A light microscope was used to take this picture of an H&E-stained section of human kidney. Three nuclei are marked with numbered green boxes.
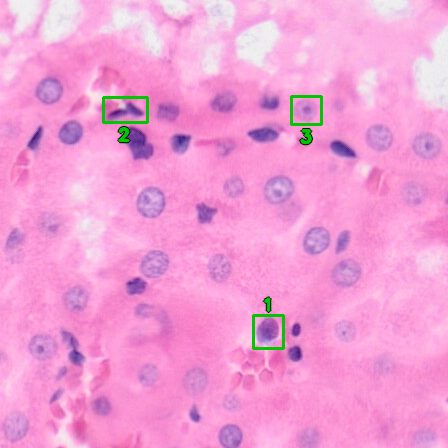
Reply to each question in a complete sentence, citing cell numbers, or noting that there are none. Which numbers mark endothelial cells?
The cells labelled 1 and 2 in this section are endothelial cells.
